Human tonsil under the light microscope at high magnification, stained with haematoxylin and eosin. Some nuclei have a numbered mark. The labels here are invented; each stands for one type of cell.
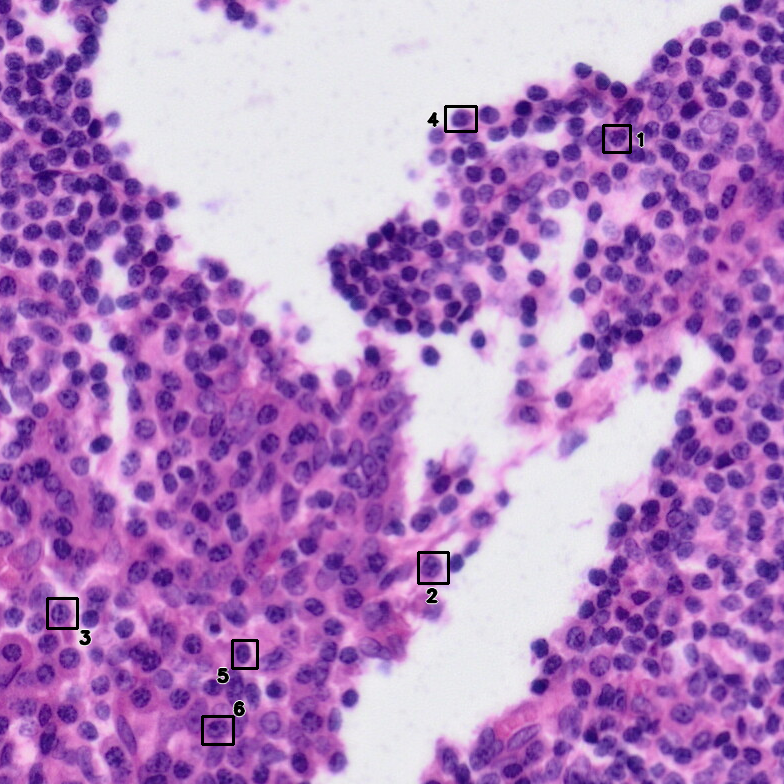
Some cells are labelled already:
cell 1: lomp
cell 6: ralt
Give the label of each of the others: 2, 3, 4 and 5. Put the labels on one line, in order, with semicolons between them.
ralt; ralt; lomp; ralt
